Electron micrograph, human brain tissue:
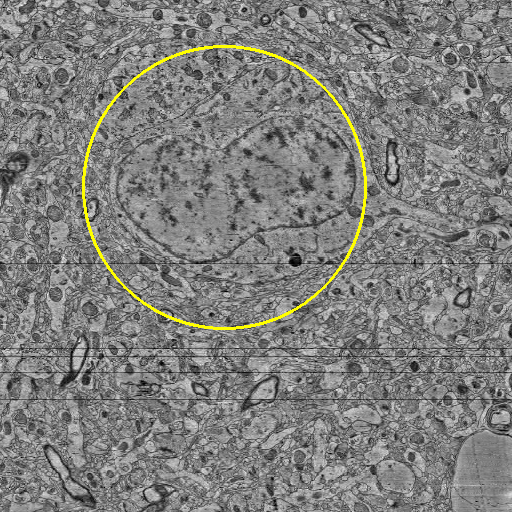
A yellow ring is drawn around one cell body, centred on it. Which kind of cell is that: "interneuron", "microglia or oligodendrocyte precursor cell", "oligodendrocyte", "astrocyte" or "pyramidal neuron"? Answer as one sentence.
It is a pyramidal neuron at the centre of the ring.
